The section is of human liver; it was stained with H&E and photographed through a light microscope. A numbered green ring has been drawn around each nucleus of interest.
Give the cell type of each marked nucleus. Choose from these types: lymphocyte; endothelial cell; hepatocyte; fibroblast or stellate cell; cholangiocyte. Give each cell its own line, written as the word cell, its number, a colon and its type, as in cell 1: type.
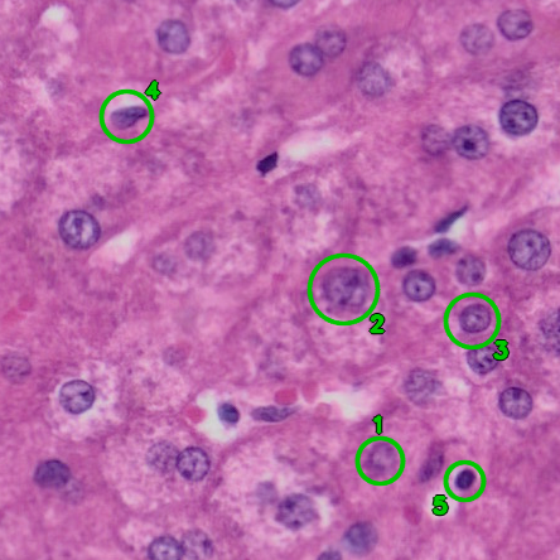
cell 1: hepatocyte
cell 2: hepatocyte
cell 3: hepatocyte
cell 4: endothelial cell
cell 5: lymphocyte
